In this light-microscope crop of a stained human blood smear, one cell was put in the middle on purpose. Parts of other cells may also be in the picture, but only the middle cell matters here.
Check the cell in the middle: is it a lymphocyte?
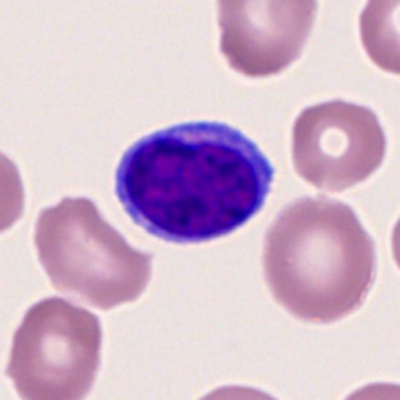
yes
